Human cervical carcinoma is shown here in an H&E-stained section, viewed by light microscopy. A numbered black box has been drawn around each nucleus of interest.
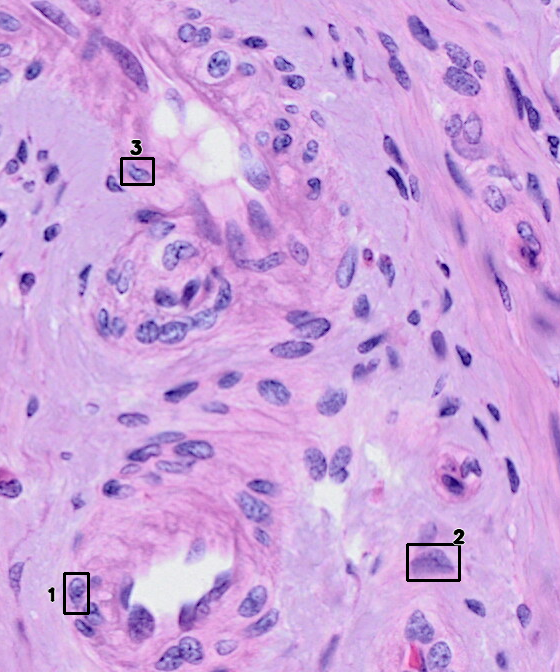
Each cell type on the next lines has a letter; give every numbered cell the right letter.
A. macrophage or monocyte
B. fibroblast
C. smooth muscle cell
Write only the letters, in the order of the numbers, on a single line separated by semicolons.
C; B; C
